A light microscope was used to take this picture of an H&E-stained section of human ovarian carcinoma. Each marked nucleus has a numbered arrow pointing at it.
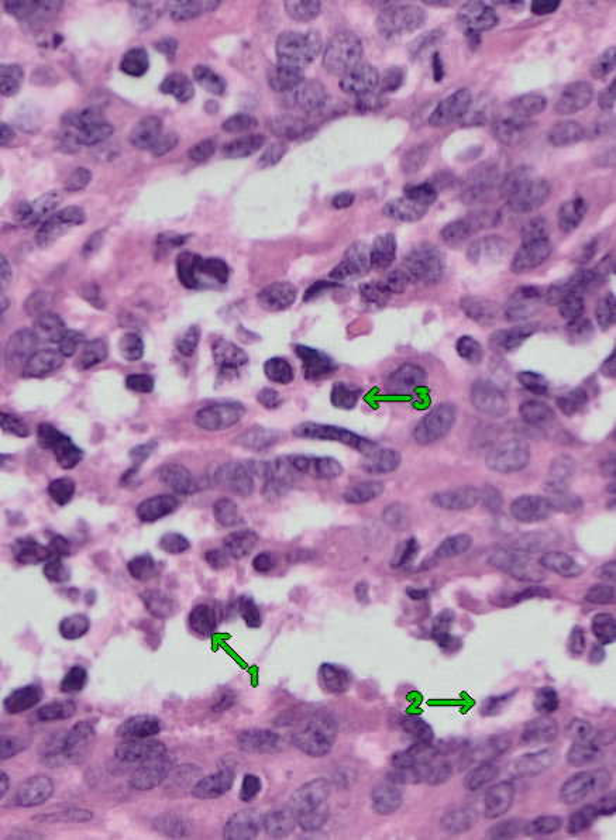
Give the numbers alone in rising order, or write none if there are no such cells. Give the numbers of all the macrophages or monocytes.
2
